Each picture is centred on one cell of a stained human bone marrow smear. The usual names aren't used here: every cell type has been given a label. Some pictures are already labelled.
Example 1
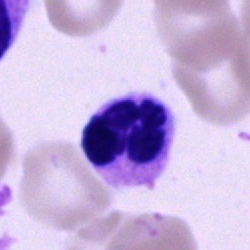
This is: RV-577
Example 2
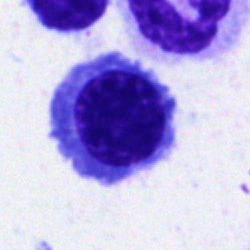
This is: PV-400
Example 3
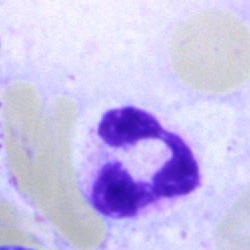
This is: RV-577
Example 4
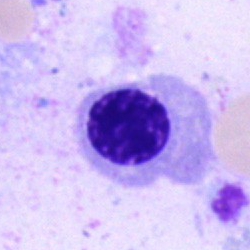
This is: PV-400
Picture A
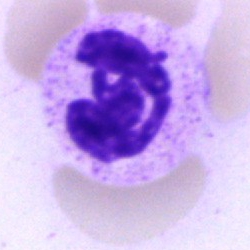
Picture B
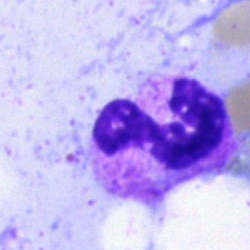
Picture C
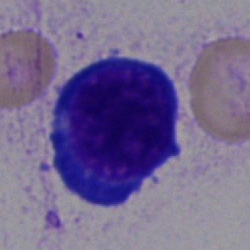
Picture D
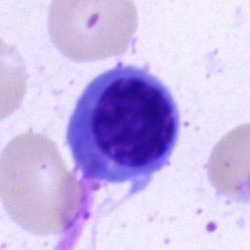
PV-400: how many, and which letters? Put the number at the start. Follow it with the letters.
2, namely C, D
